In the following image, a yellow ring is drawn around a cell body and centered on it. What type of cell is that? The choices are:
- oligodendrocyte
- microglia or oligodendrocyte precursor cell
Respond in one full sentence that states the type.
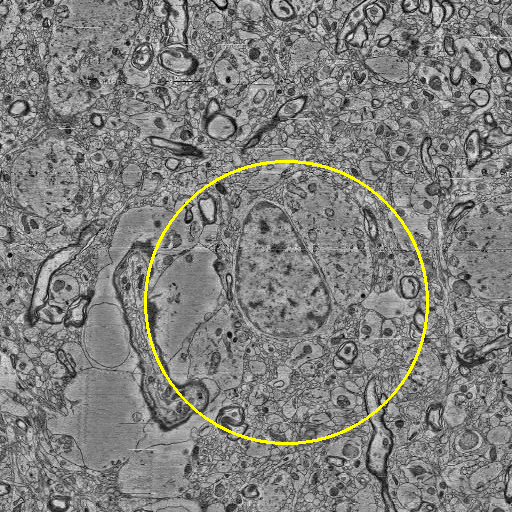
The cell at the center of the yellow ring in the image is a microglial cell or oligodendrocyte precursor cell.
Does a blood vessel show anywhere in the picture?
Yes, there is a blood vessel.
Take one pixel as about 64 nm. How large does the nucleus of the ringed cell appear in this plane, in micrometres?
The nucleus comes to approximately 9 by 6 micrometres and is clearly longer than it is wide in this plane.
